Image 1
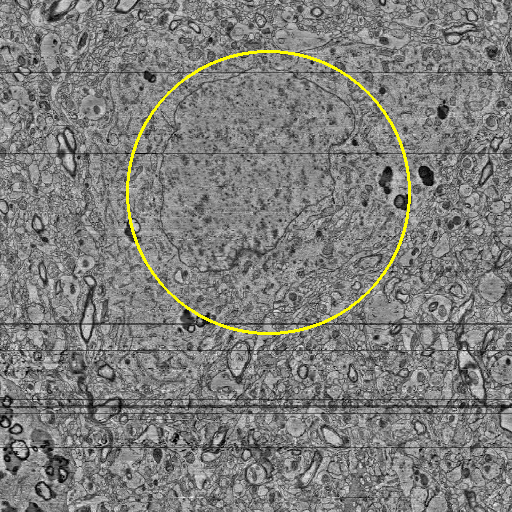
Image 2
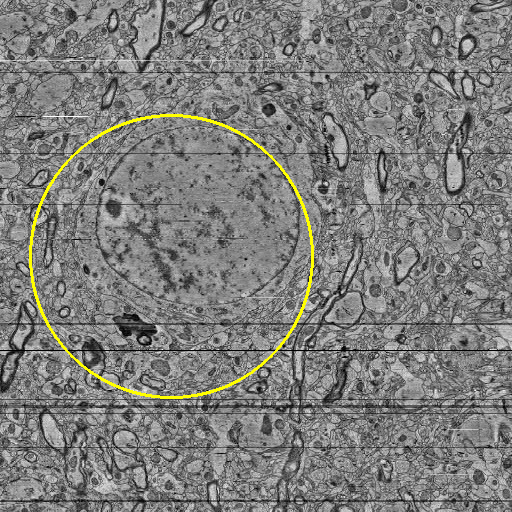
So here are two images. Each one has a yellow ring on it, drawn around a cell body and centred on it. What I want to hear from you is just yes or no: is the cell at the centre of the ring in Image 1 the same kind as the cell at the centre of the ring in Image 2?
yes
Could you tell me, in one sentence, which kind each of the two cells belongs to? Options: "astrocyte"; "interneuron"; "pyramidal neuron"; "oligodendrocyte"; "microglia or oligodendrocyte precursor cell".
Both rings mark a pyramidal neuron, one in each picture.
